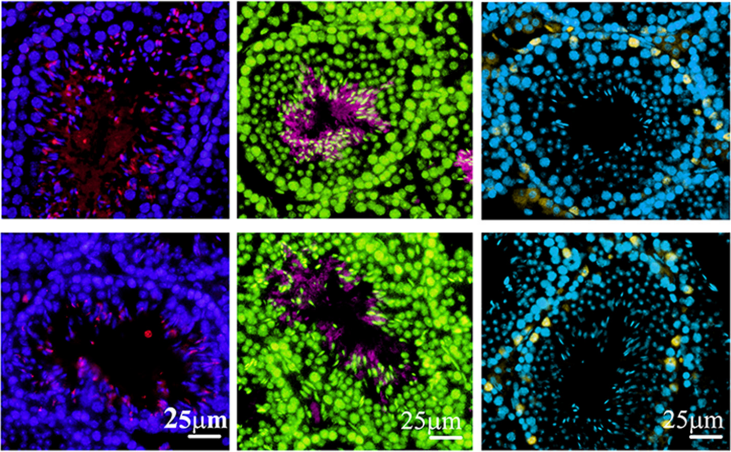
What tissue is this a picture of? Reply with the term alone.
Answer: Testes.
